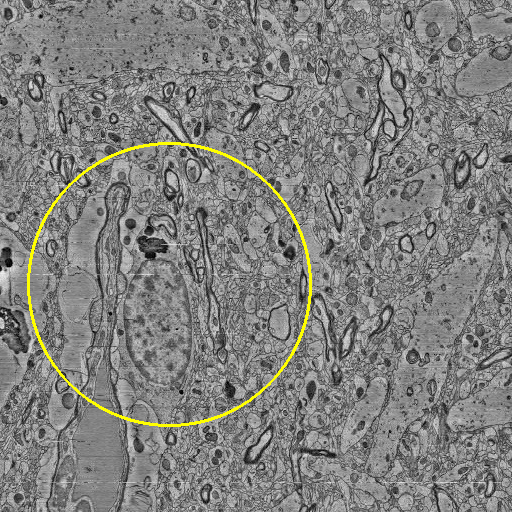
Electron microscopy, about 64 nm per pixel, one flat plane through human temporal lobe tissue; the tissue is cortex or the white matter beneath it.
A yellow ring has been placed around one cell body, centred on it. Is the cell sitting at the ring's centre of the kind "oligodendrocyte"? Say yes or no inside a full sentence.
Yes, the cell sitting at the centre of the yellow ring is of that kind.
